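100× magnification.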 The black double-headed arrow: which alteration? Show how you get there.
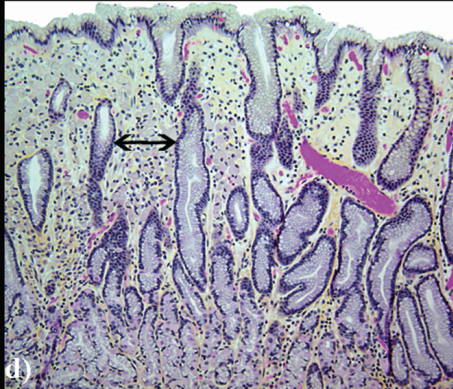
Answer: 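Expanding inter-pit distance. The arrow spans a wide gap between two neighbouring gastric pits. The widened space between the pits is filled with pale, rounded cells rather than ordinary loose stroma.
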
